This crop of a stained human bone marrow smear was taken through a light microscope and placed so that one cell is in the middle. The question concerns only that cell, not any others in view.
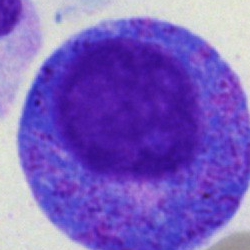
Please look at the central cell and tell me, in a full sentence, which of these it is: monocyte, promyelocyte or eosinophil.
As for the cell in the middle, it is a promyelocyte.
